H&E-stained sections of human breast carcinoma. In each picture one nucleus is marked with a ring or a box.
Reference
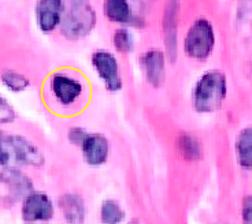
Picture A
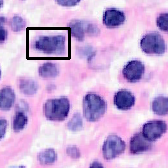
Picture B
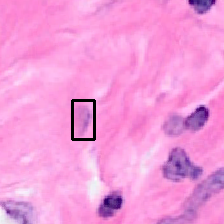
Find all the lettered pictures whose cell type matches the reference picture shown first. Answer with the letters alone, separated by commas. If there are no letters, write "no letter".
A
